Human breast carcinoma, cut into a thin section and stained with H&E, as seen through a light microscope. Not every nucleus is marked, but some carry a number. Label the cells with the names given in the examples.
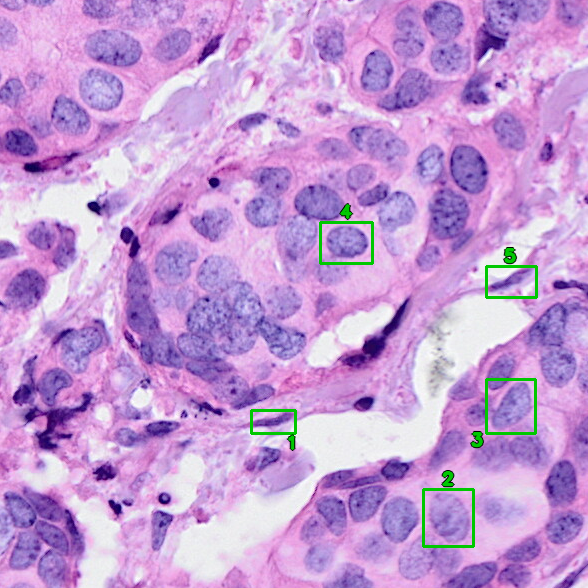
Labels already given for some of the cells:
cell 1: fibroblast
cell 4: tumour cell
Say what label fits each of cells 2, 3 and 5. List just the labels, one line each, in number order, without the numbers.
tumour cell
tumour cell
fibroblast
